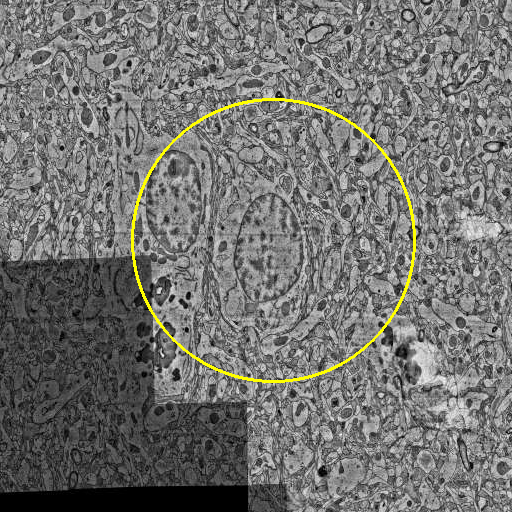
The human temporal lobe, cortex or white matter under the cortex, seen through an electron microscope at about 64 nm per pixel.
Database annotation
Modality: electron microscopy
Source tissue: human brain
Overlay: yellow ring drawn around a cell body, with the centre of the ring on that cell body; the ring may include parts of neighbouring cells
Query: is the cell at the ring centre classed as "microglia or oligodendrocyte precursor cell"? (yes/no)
no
